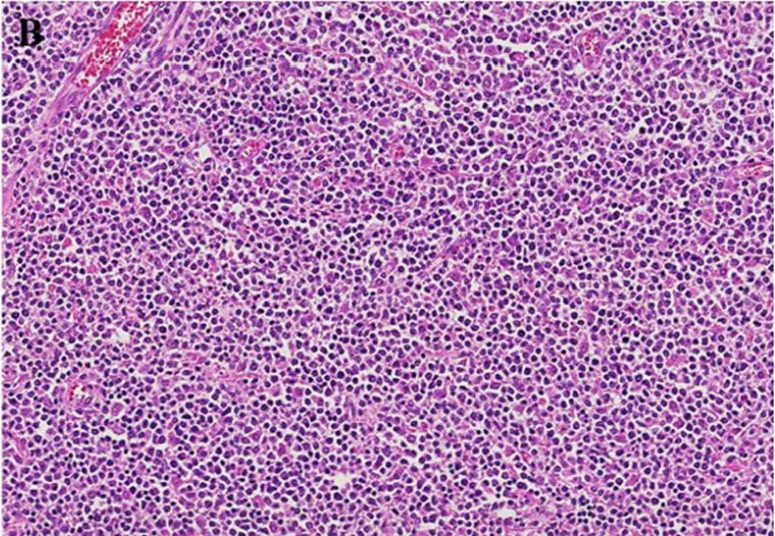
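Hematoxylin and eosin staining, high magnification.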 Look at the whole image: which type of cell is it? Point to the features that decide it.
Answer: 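Atypical lymphoid cells. Sheets of densely packed, discohesive round cells. Dark, round nuclei with scant cytoplasm. Only thin blood vessels lie between the cells, with no glands.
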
